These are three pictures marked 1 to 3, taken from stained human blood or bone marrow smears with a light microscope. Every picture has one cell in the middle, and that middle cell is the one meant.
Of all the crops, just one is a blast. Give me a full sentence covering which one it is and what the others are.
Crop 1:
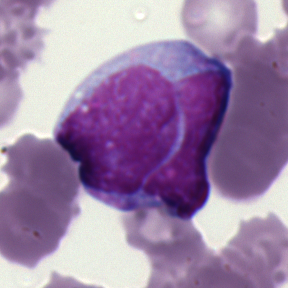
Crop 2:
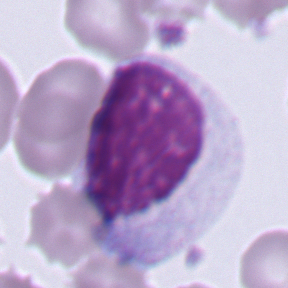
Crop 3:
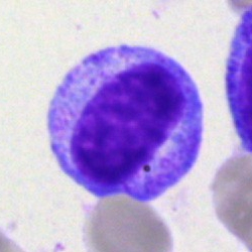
Crop by crop: crop 1 is a blast, while crop 2 is a lymphocyte and crop 3 is a myelocyte.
